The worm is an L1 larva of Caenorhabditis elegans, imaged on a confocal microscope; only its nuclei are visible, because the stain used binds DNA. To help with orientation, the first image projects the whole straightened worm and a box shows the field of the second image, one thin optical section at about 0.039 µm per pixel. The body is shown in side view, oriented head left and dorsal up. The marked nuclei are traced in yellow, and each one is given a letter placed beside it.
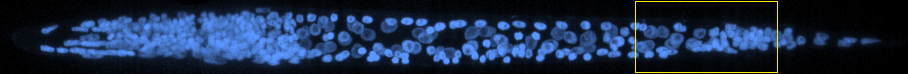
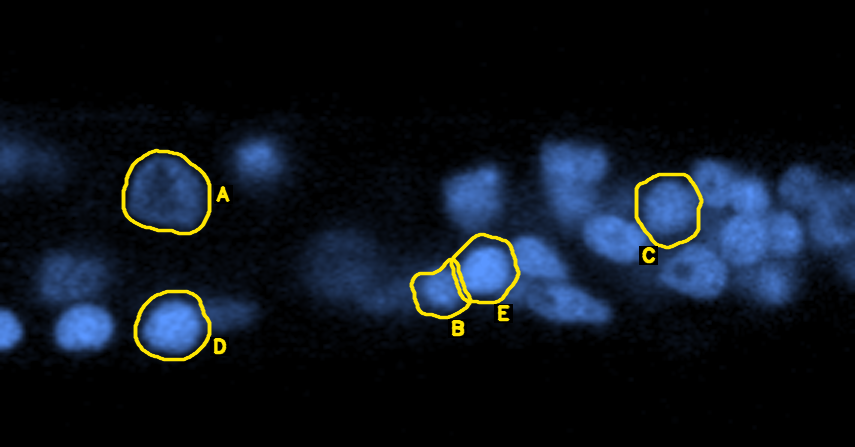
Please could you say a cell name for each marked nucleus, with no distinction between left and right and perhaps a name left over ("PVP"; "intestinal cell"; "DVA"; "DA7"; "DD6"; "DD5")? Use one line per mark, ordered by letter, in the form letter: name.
A: intestinal cell
B: PVP
C: DVA
D: DA7
E: DD6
